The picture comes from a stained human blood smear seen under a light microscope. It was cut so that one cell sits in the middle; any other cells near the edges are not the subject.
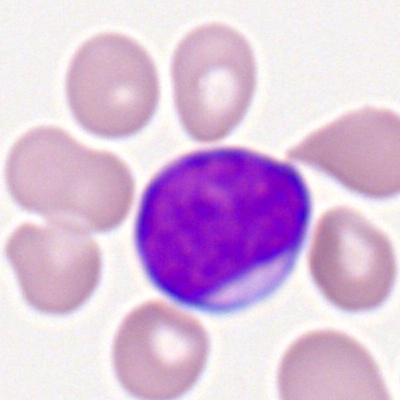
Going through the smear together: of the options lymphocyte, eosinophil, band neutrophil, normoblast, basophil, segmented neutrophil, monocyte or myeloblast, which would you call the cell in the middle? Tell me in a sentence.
Positioned in the middle of the crop is a myeloblast.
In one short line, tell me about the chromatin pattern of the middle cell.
Heads up, the chromatin in this one is coarsely clumped.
